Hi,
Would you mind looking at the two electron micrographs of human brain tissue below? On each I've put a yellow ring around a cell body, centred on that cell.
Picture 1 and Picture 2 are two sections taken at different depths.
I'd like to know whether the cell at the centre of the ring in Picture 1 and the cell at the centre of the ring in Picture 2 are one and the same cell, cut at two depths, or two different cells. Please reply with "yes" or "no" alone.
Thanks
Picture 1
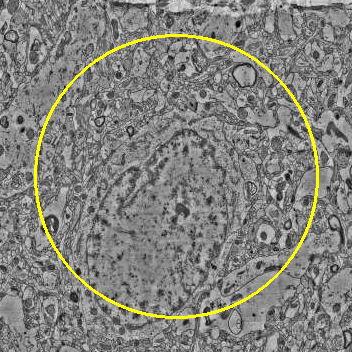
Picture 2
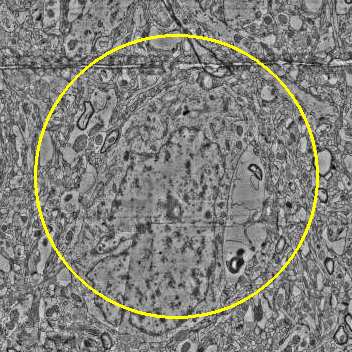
yes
